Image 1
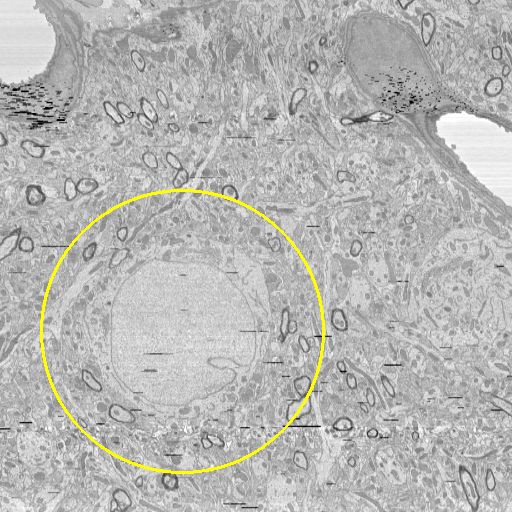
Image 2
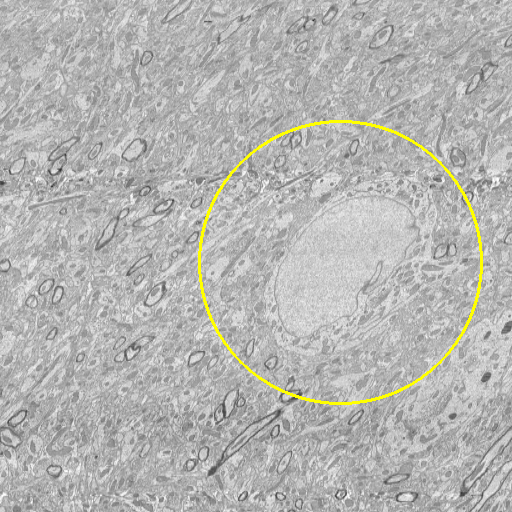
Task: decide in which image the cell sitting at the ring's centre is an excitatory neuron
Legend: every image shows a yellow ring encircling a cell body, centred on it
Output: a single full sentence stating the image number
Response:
In image 1, the cell at the middle of the ring is the match.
